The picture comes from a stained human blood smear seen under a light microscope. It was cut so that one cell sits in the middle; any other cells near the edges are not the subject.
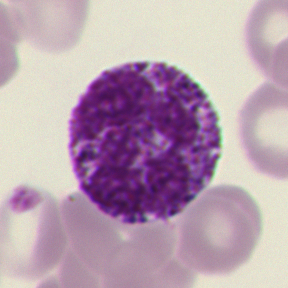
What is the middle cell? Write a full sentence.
The cell nearest the centre of this crop is a basophil.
